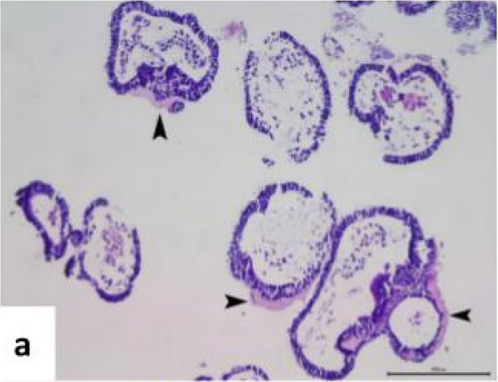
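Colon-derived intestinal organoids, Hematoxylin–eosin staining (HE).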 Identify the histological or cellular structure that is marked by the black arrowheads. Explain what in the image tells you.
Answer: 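Pale pink, structureless material lies against the outer side of the epithelial rings where the arrowheads point. The material contains no nuclei. The answer: amorphous eosinophilic matrix.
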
